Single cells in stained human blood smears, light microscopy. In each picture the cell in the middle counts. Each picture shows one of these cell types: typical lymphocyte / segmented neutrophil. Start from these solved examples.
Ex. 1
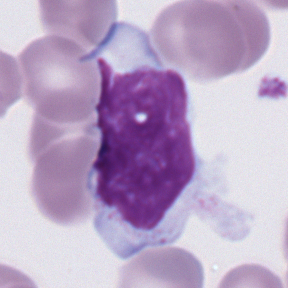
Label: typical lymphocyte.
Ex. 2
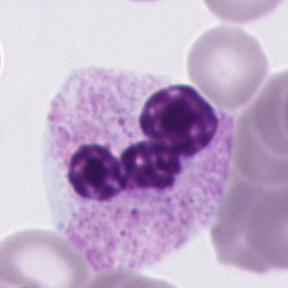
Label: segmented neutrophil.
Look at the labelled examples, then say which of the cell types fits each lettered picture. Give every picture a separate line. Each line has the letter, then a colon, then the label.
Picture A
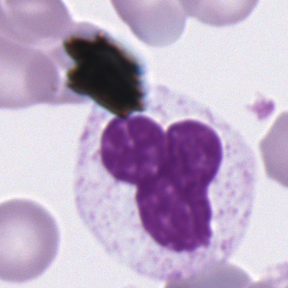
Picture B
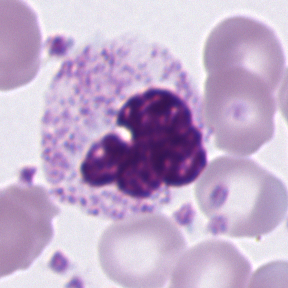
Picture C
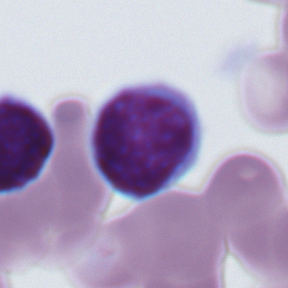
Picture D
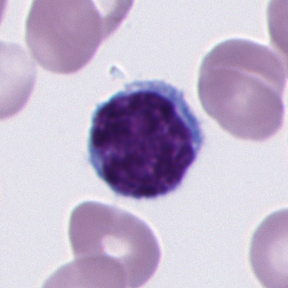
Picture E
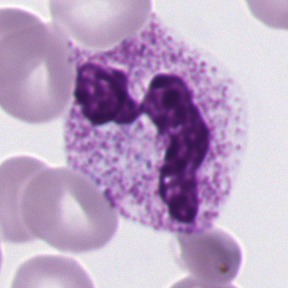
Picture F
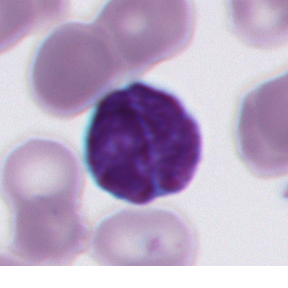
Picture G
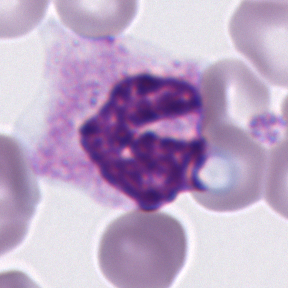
A: segmented neutrophil.
B: segmented neutrophil.
C: typical lymphocyte.
D: typical lymphocyte.
E: segmented neutrophil.
F: typical lymphocyte.
G: segmented neutrophil.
